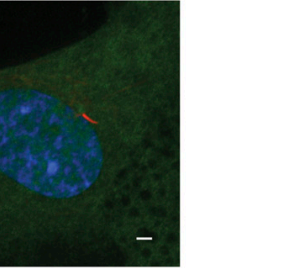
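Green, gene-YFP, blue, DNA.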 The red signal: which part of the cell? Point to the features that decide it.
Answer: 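A short thin red rod lies at the upper right edge of the blue nucleus. The answer: cilia.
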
